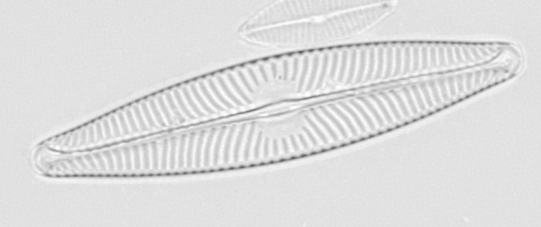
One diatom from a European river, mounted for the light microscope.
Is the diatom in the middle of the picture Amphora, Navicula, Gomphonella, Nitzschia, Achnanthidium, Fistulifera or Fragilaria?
It is Navicula.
